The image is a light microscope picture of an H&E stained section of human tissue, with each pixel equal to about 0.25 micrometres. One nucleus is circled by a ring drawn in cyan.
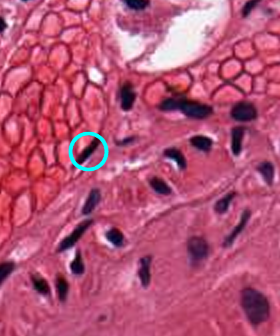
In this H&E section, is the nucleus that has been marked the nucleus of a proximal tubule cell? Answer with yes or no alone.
no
